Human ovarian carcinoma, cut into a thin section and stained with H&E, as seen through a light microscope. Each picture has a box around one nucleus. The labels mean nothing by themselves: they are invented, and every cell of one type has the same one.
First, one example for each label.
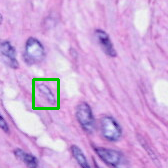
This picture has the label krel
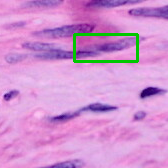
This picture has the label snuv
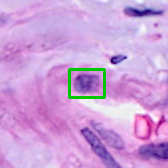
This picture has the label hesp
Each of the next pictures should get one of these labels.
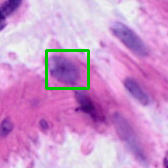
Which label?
snuv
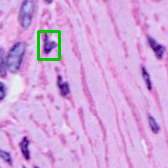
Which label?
krel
